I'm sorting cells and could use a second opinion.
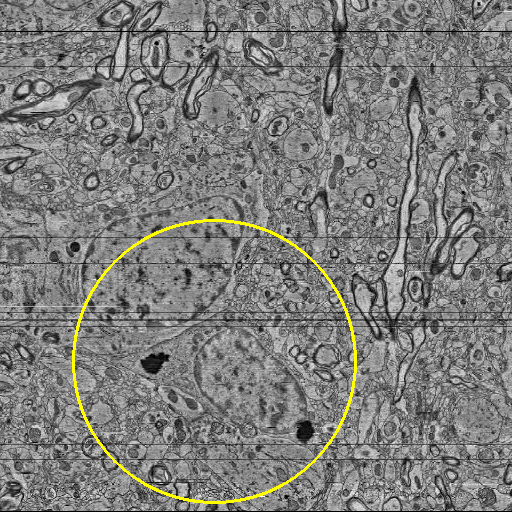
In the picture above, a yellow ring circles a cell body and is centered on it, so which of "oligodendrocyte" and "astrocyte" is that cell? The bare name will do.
oligodendrocyte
